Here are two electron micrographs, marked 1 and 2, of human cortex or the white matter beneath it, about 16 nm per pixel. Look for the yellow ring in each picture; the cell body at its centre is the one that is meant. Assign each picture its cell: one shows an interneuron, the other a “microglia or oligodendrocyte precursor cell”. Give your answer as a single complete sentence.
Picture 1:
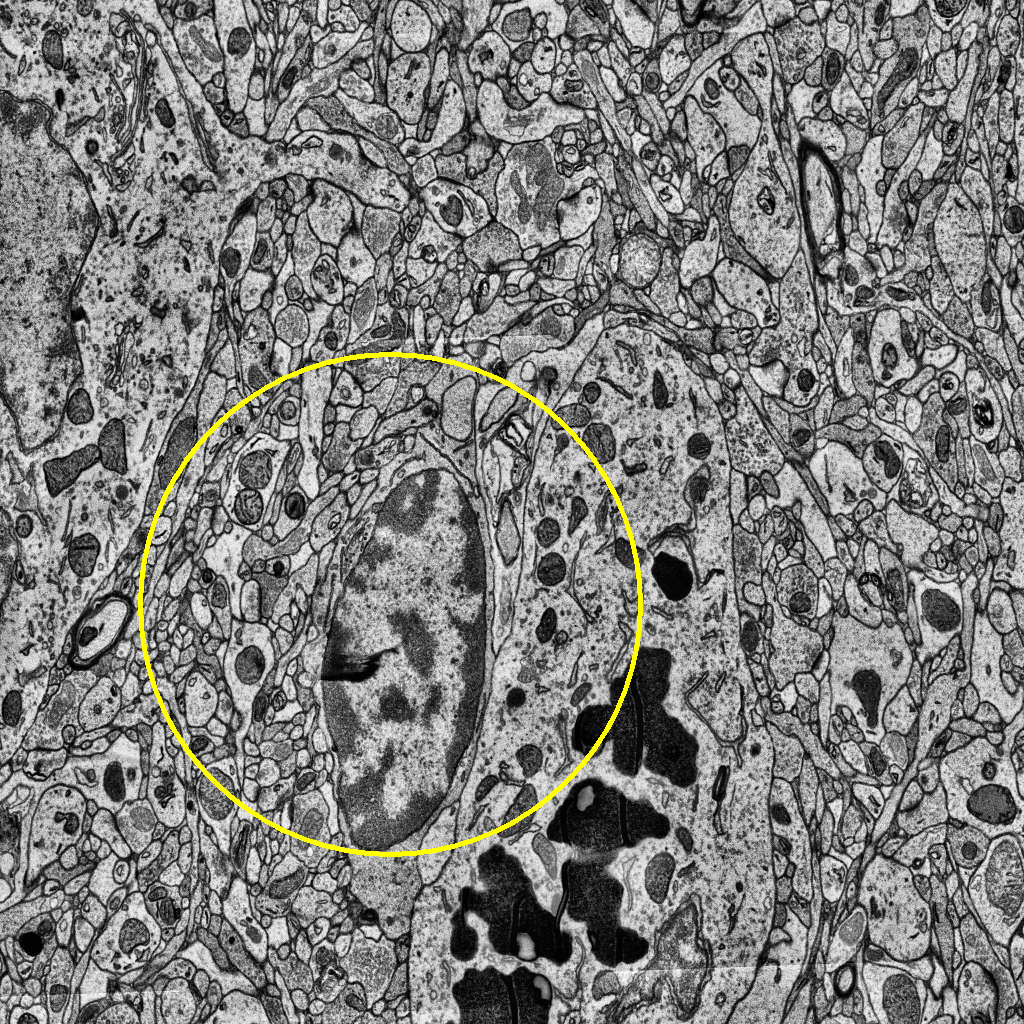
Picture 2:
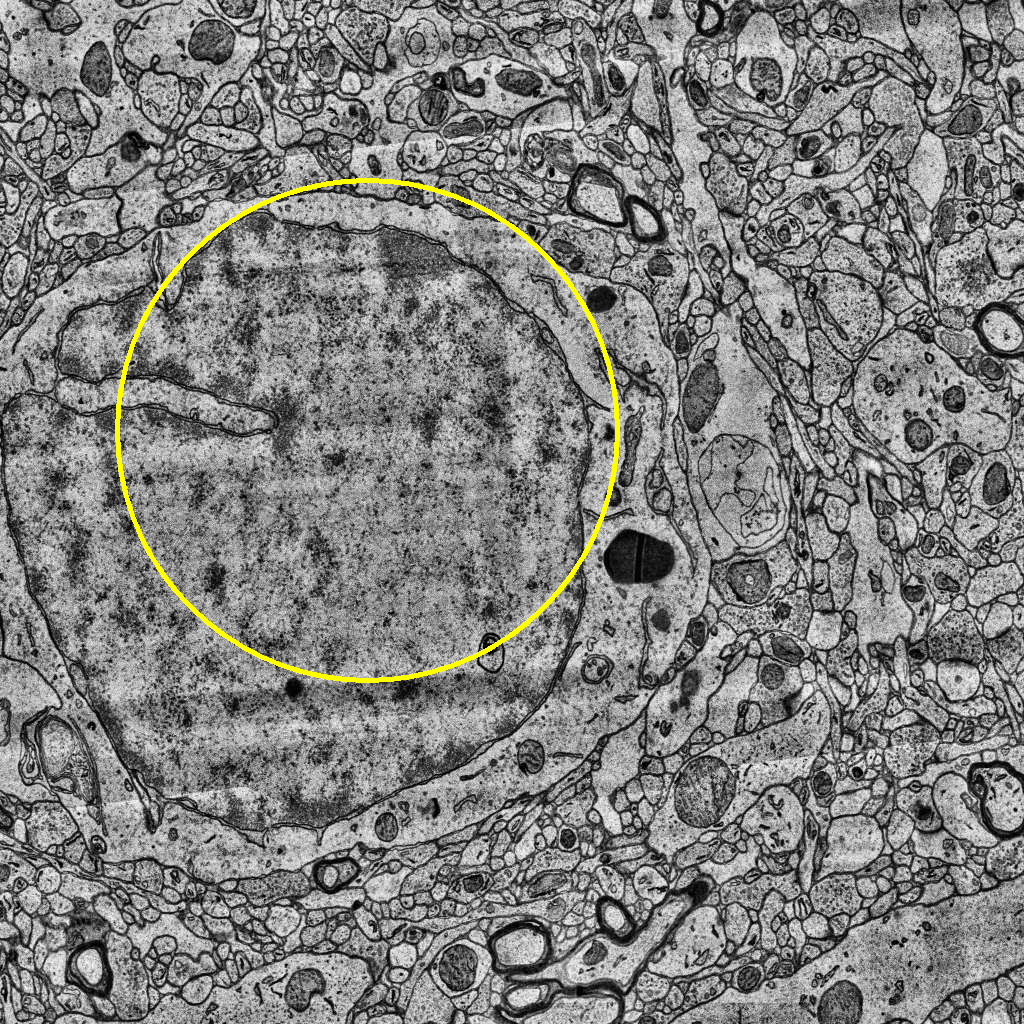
It is picture 1 that shows a “microglia or oligodendrocyte precursor cell”, and picture 2 that shows an interneuron.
